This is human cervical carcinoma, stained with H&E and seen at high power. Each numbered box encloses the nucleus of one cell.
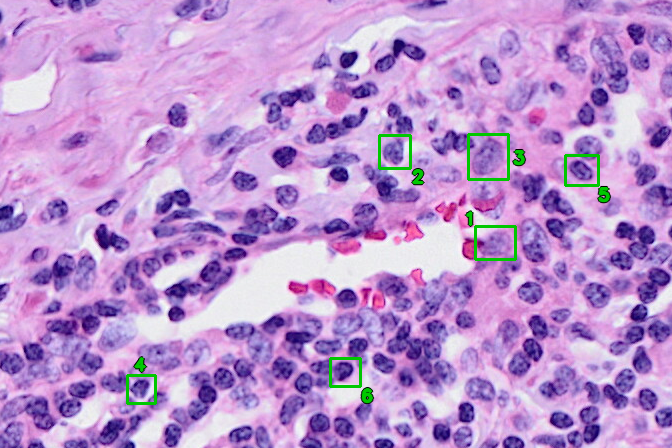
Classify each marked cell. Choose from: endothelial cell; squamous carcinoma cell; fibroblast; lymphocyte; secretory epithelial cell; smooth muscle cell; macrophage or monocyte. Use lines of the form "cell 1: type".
cell 1: endothelial cell
cell 2: lymphocyte
cell 3: endothelial cell
cell 4: lymphocyte
cell 5: lymphocyte
cell 6: lymphocyte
